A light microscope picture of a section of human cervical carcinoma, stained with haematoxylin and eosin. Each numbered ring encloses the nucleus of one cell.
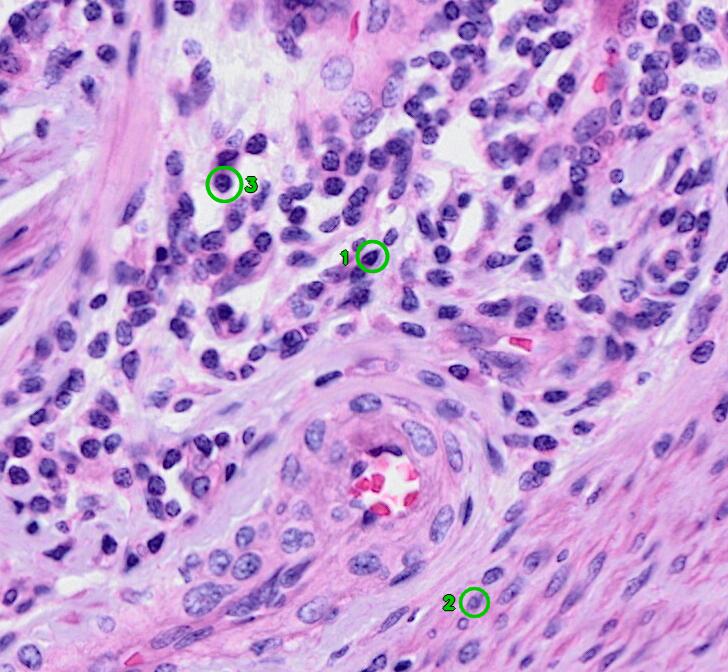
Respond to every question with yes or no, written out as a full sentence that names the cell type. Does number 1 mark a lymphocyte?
Yes, in this section the cell with number 1 is a lymphocyte.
